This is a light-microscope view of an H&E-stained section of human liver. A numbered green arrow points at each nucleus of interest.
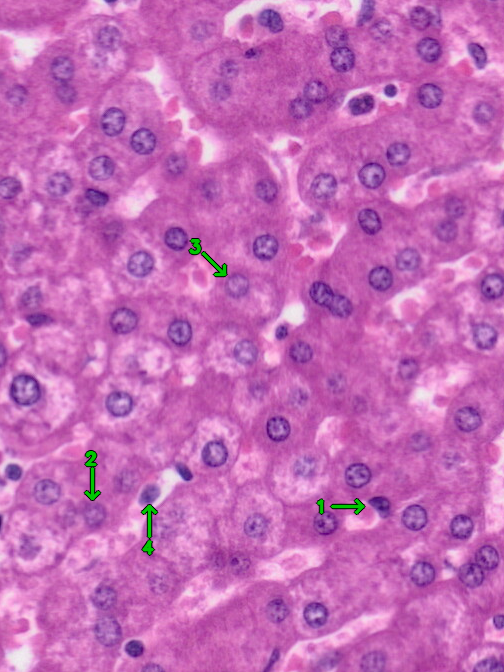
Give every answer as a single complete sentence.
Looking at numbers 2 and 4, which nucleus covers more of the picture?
Nucleus 2 is the larger one, covering about 1.5 times the area of nucleus 4.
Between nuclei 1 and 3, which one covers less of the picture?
It is nucleus 1; nucleus 3 has about 1.5 times its area.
